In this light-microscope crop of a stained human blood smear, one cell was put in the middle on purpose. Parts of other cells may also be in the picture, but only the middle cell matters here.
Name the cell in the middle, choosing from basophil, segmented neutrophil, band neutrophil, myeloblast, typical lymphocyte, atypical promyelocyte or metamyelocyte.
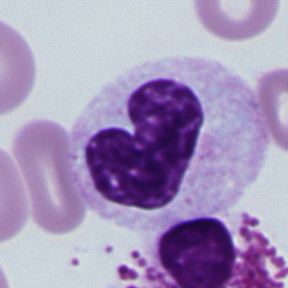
band neutrophil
